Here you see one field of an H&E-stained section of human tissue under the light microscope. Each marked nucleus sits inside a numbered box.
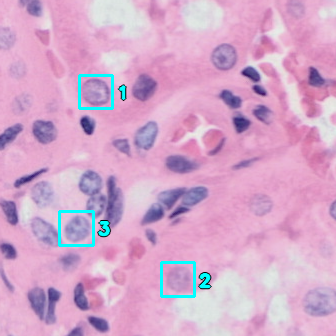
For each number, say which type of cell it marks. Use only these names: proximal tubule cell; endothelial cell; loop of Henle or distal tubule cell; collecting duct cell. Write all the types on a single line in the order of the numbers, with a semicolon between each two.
proximal tubule cell; proximal tubule cell; collecting duct cell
